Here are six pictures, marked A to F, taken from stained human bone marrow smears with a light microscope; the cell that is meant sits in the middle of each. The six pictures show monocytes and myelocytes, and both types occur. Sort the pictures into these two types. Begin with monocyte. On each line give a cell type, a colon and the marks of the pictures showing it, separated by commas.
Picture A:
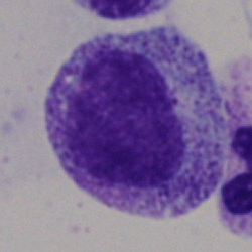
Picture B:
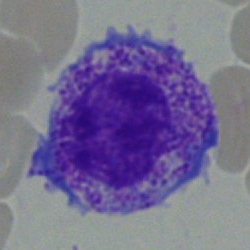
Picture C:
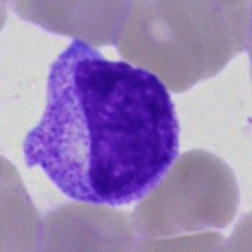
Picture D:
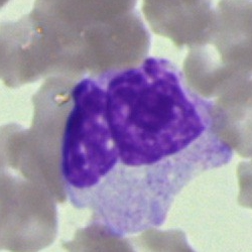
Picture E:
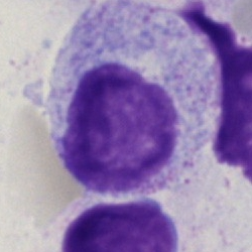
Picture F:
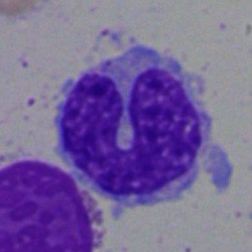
monocyte: D, F
myelocyte: A, B, C, E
